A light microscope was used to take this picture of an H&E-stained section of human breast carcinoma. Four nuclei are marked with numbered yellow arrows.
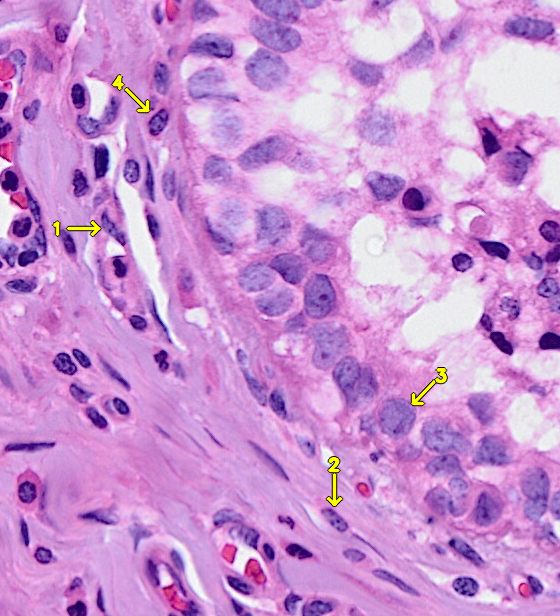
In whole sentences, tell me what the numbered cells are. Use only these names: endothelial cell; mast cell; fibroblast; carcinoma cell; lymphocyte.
Cell 1 is an endothelial cell, cell 2 is a mast cell, cell 3 is a carcinoma cell and cell 4 is a mast cell.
